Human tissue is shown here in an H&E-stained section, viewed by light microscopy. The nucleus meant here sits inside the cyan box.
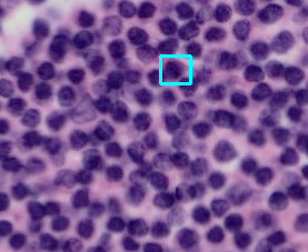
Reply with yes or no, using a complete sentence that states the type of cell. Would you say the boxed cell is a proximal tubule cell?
No, on this one the boxed cell is a small lymphocyte, not a proximal tubule cell.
